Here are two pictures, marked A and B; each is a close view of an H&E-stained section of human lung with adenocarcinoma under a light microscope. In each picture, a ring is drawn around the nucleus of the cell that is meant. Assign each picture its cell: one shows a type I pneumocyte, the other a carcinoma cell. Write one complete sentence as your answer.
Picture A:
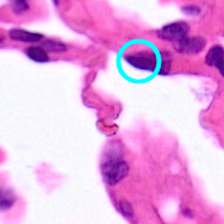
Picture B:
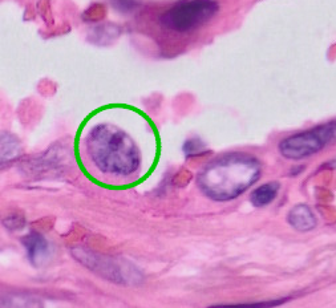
In picture A the cell is a type I pneumocyte; in picture B, a carcinoma cell.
